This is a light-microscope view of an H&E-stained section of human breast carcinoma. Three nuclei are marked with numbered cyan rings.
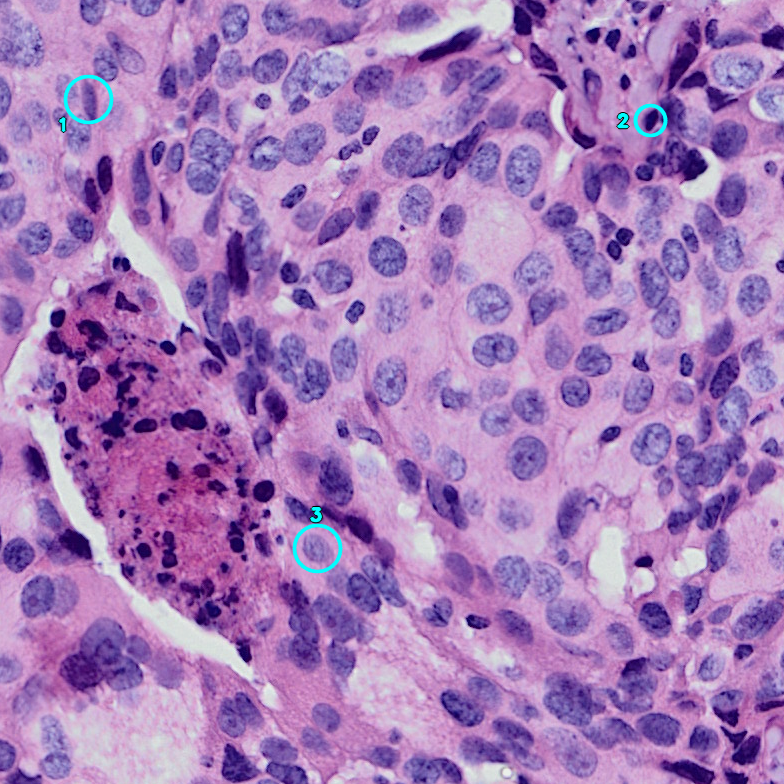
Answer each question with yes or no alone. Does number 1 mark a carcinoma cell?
yes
